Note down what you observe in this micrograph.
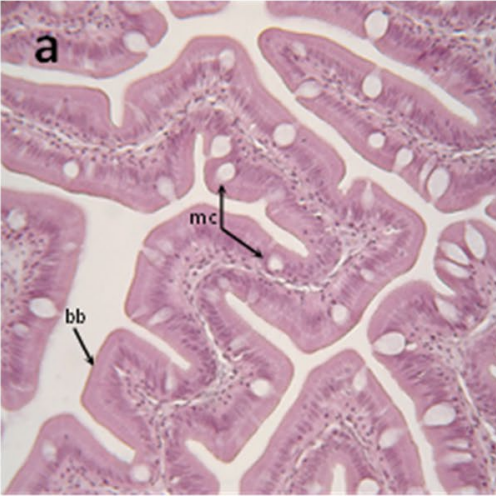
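This section shows the intestinal mucosa folded into branching folds, each covered by a simple columnar epithelium with goblet cells scattered among the absorptive cells. The columnar cells are tall and closely packed, with pink cytoplasm and elongated nuclei lying in a row toward the base. Along the free surface runs a thin, more densely pink brush border facing the pale lumen. The goblet cells appear as pale, rounded to oval, nearly unstained vacuoles set within the epithelium. Each fold has a narrow core of loose connective tissue holding small, darkly stained nuclei.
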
